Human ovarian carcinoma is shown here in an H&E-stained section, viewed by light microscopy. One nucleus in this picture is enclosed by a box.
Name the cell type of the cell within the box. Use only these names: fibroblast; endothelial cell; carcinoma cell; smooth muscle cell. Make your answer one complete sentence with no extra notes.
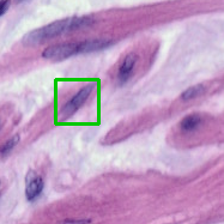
The identity of the cell within the box is that of a smooth muscle cell.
